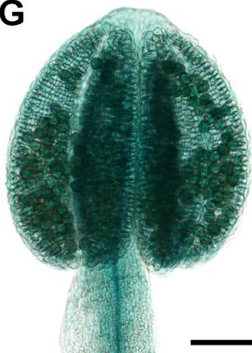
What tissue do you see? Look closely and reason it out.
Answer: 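A heart-shaped organ with four lobes on a narrow stalk. The lobes are packed with round dark grains.
A mature anther.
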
